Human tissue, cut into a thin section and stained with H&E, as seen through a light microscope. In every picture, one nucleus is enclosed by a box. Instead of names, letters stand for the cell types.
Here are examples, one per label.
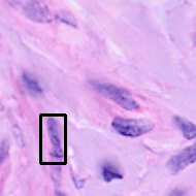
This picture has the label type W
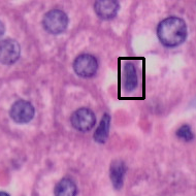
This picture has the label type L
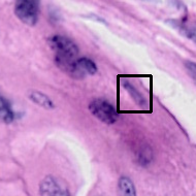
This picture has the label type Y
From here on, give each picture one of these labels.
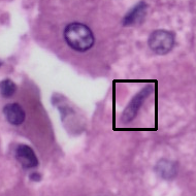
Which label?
type L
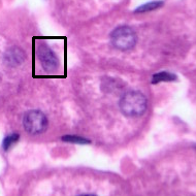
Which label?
type L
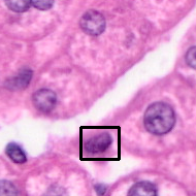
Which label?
type L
